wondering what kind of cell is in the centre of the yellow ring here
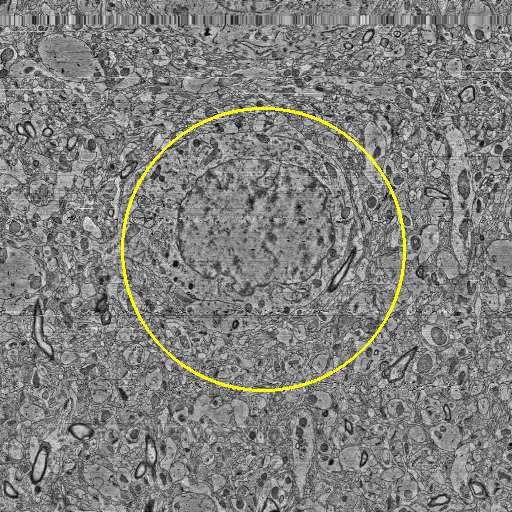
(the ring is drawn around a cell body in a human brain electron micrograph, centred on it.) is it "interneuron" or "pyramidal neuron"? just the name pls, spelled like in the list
interneuron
